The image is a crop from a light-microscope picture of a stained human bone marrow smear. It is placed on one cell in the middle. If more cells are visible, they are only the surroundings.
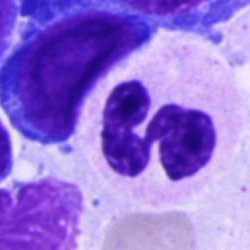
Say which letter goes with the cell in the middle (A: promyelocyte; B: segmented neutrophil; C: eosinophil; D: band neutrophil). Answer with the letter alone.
B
